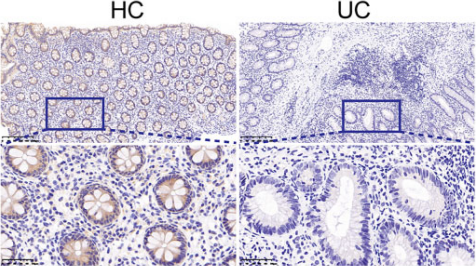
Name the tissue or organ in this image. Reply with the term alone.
colon mucosa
